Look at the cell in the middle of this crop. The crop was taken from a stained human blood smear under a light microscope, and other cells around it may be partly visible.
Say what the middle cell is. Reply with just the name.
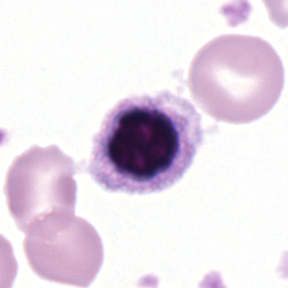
normoblast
